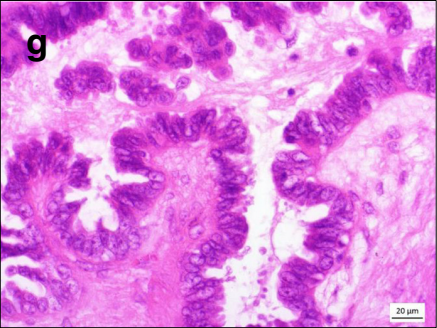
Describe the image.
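Papillary fronds of tumour epithelium are seen at high power, lined by columnar to cuboidal cells arranged in a row that is partly stratified, with small detached clusters budding into the spaces. The cells have pink cytoplasm and oval, dark nuclei with dense chromatin, some showing a nucleolus; nuclear size varies mildly. Beneath the epithelium lies pale, loose, somewhat oedematous connective tissue with scattered spindle cells forming the cores of the fronds.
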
